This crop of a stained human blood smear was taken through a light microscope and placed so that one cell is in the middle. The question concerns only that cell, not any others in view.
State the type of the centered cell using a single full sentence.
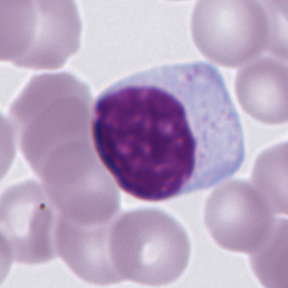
Where the crop is centred, there is a large granular lymphocyte.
